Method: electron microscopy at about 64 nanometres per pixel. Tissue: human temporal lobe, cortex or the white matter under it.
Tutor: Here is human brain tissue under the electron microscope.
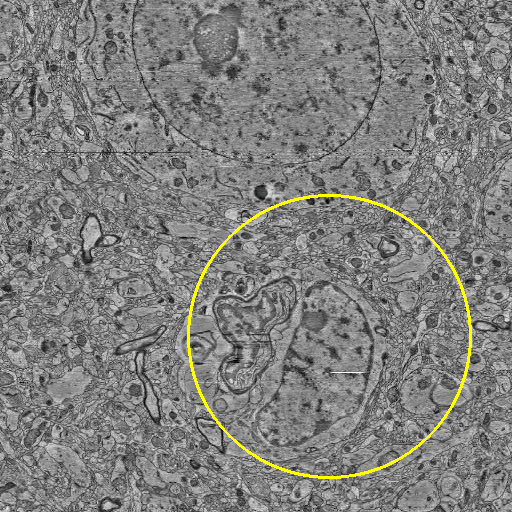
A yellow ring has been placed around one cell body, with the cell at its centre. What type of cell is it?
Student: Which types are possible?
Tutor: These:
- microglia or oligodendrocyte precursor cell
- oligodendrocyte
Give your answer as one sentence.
What the ring picks out here is a microglial cell or oligodendrocyte precursor cell.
